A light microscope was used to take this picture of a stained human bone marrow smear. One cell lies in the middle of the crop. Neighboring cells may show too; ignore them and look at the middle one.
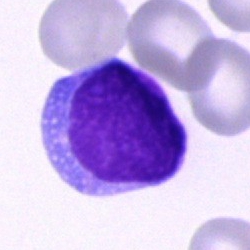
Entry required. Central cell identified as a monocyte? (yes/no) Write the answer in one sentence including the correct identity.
No, it is a blast that sits in the middle, not a monocyte.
